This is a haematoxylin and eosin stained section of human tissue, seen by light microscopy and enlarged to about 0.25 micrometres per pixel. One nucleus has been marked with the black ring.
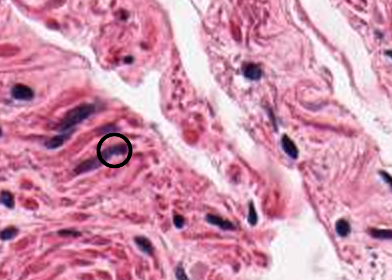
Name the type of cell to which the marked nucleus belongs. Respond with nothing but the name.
smooth muscle cell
